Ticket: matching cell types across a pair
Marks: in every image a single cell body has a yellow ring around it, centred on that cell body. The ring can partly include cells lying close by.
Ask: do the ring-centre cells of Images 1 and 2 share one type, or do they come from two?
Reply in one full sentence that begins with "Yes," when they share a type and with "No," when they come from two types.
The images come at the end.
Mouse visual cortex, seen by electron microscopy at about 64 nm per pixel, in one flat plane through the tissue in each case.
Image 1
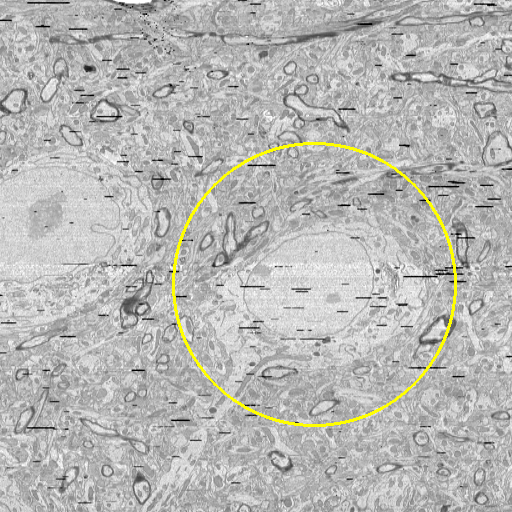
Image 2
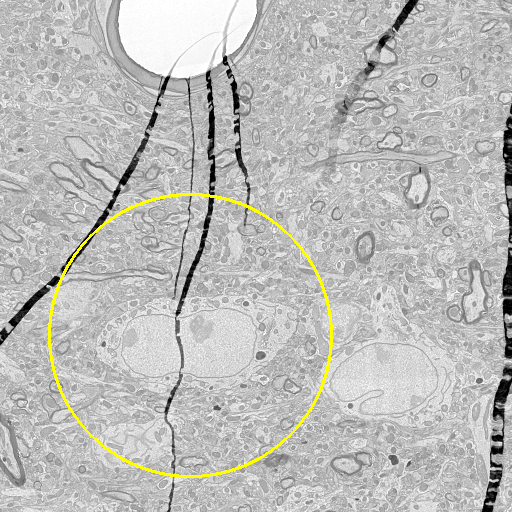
Yes, the cells in the centres of the rings in Image 1 and Image 2 share one type.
